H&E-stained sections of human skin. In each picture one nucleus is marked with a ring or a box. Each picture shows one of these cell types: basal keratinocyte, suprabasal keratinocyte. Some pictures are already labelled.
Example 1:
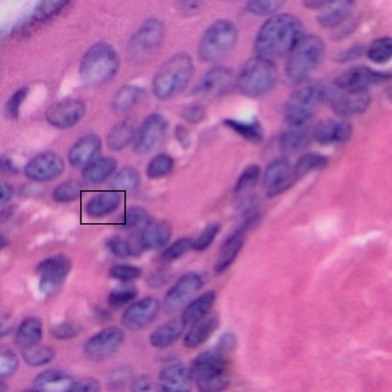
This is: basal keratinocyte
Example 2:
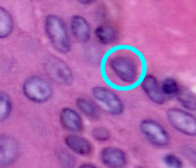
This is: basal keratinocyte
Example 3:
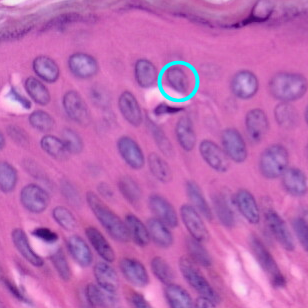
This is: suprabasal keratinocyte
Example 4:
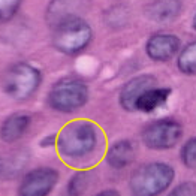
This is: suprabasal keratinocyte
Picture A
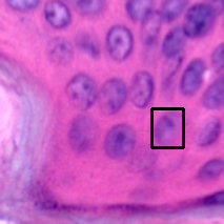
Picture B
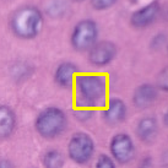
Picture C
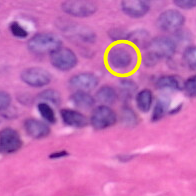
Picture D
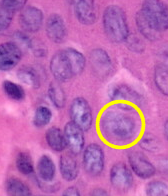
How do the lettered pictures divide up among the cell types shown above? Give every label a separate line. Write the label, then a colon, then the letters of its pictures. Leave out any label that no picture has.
basal keratinocyte: C
suprabasal keratinocyte: A, B, D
